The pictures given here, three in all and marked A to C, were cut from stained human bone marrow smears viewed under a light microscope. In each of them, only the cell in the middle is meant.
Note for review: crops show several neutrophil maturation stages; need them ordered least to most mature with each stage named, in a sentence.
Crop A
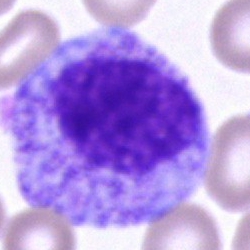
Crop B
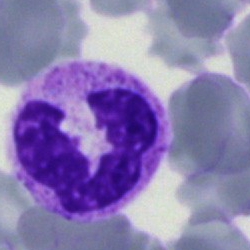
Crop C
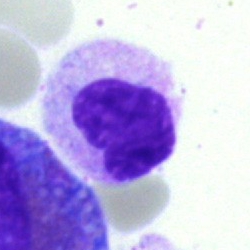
The crops, ordered from least to most mature, are crop A (a promyelocyte), crop C (a metamyelocyte) and crop B (a segmented neutrophil).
